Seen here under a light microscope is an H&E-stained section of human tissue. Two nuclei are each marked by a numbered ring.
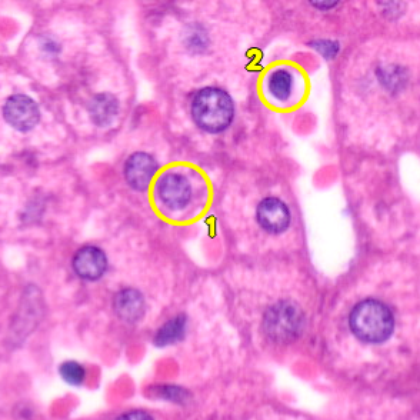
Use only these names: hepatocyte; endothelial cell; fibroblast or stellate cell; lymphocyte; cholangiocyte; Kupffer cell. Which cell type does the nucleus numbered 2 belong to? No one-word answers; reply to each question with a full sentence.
Identified by the number 2, the cell is a lymphocyte.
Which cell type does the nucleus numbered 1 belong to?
The label 1 in this section denotes a hepatocyte.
